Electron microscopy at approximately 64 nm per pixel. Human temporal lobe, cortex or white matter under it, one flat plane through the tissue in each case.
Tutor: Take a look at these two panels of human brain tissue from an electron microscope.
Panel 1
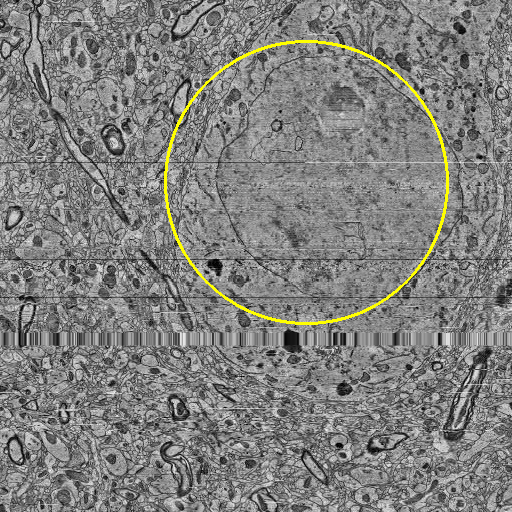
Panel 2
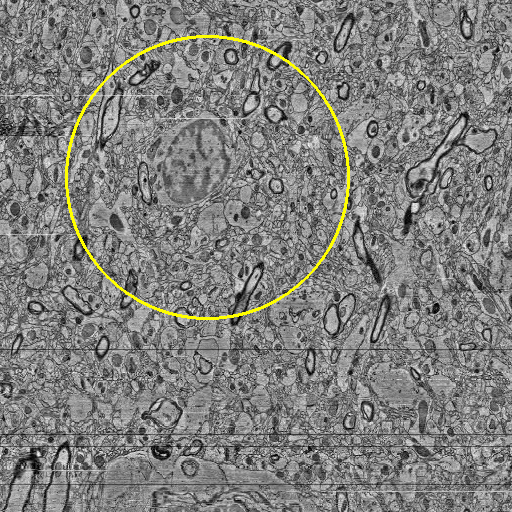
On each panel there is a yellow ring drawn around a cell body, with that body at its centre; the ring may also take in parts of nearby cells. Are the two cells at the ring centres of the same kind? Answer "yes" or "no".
no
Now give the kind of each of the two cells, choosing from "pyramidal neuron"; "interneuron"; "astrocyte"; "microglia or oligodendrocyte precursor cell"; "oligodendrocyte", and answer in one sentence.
The cell in the first picture is a pyramidal neuron, and the cell in the second is an oligodendrocyte.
